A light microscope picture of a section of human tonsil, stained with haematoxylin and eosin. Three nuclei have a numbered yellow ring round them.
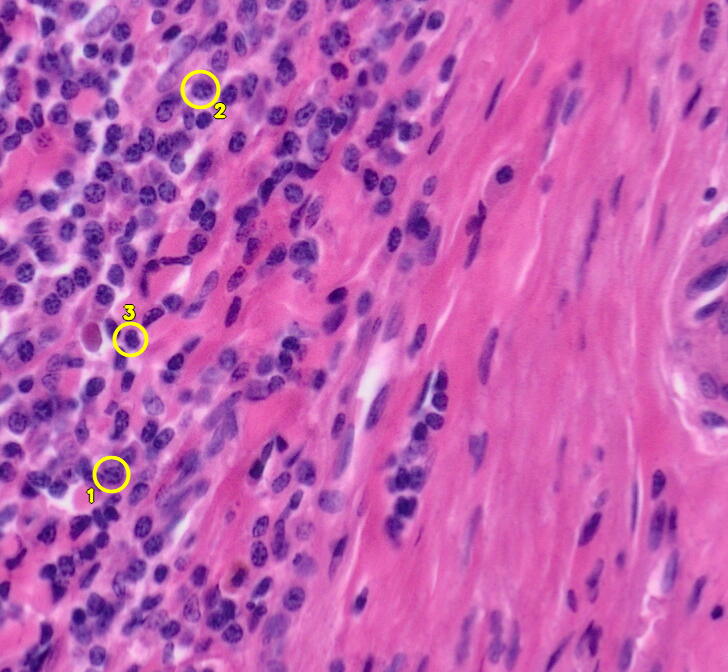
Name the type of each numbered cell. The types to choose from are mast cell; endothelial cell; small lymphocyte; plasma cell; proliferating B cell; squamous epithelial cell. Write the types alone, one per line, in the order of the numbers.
plasma cell
plasma cell
mast cell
